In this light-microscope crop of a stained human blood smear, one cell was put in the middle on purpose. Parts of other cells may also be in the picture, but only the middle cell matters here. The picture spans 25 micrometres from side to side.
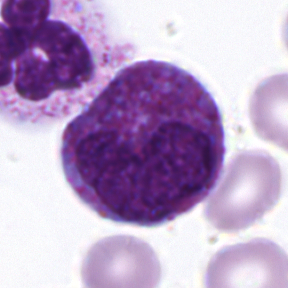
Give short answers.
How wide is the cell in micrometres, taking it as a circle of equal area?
15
